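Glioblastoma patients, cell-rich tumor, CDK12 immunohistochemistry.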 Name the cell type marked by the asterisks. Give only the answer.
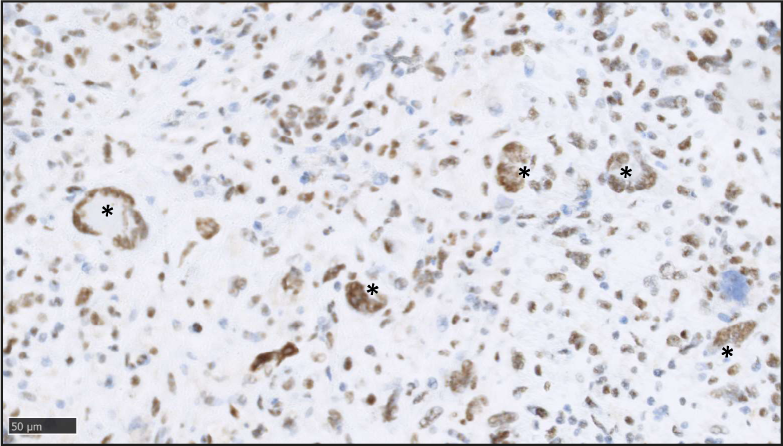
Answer: Multinucleated giant cells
